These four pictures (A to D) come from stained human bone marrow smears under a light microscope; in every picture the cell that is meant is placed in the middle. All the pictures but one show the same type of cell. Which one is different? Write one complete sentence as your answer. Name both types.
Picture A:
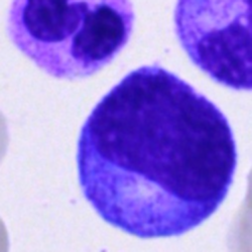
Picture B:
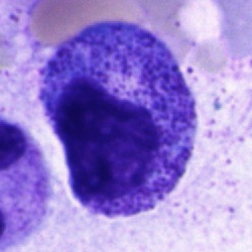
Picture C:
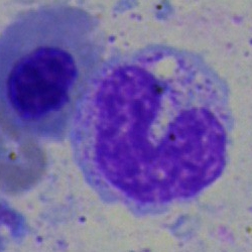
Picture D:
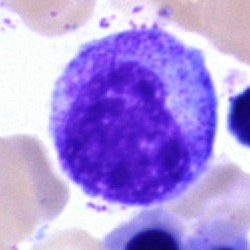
All pictures except C show promyelocytes; picture C shows a monocyte.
